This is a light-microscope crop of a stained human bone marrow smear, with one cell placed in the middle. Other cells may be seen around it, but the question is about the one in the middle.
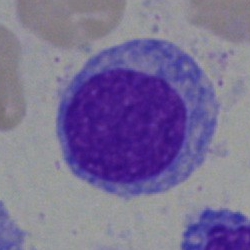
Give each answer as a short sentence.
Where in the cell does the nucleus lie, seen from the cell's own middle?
Toward the lower left of the cell lies its nucleus.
